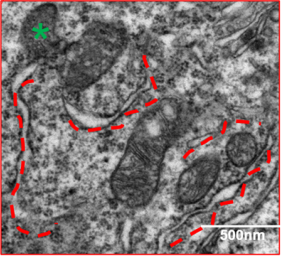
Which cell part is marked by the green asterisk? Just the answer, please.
Mitochondria.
